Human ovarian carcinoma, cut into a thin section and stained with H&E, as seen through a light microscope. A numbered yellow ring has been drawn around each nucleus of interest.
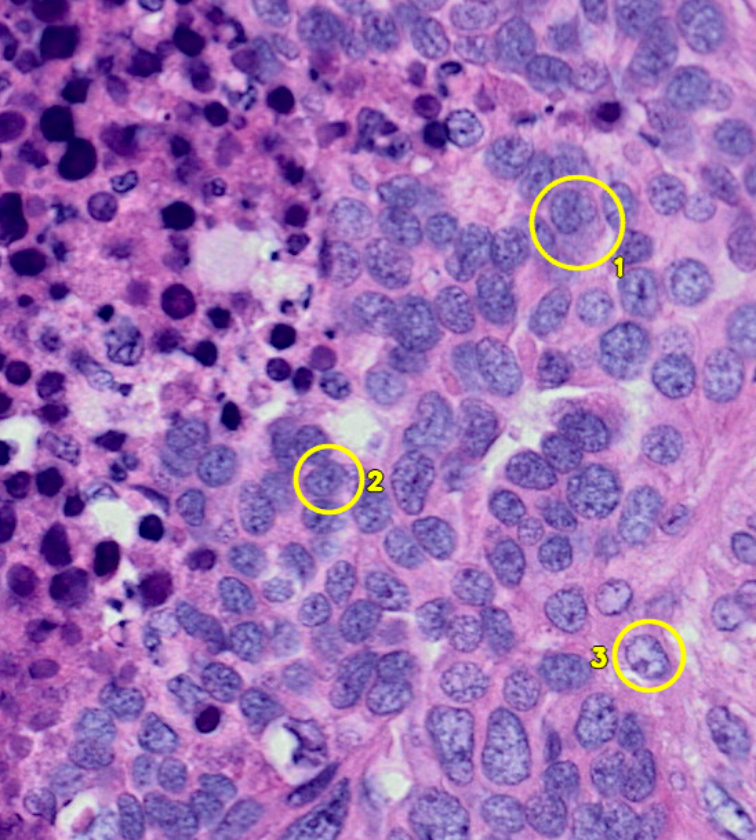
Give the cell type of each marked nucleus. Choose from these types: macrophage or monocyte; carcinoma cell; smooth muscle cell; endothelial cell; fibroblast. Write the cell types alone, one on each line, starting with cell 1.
carcinoma cell
carcinoma cell
fibroblast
